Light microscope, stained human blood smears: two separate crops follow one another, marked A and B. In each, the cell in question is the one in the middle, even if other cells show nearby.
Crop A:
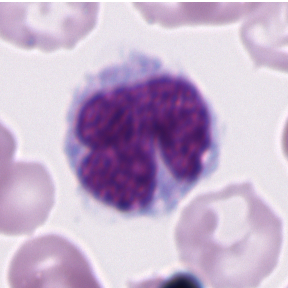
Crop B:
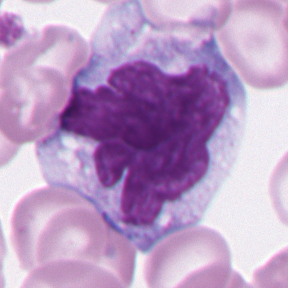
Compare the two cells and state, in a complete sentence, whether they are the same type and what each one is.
Yes, the central cells in both of the crops are monocytes.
